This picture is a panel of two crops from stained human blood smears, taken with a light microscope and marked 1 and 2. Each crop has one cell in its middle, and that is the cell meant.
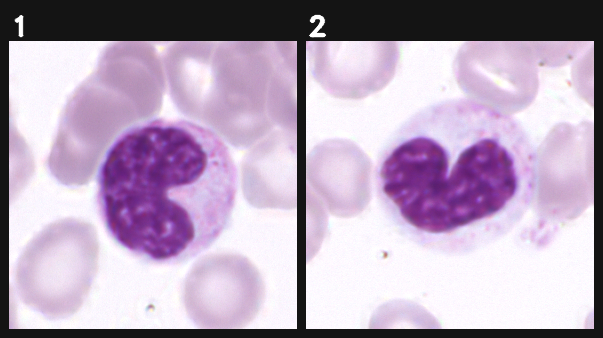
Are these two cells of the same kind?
no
